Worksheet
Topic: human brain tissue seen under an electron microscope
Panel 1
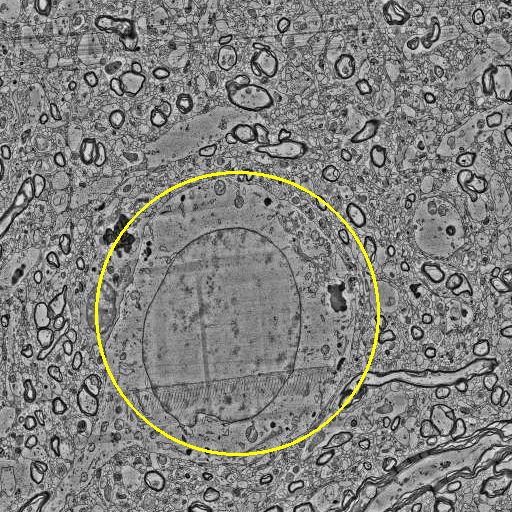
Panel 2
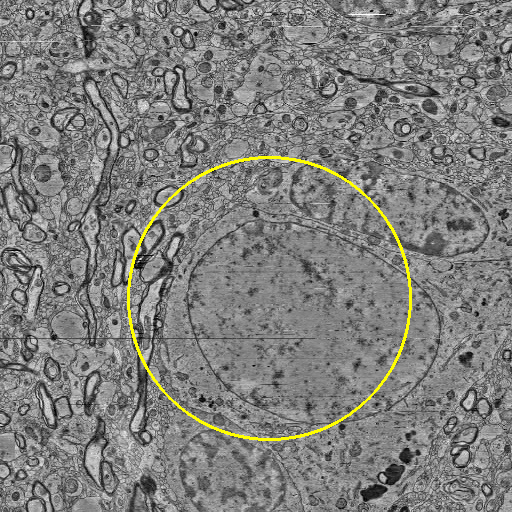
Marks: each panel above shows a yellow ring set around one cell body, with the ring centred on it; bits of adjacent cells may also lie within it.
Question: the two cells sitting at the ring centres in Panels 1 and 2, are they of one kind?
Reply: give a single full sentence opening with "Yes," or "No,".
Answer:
Yes, the two ring-centre cells in Panel 1 and Panel 2 are of one kind.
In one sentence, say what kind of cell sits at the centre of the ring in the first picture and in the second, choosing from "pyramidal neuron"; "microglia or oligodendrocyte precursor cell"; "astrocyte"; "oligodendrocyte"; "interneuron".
Each one of the two ringed cells is a pyramidal neuron.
